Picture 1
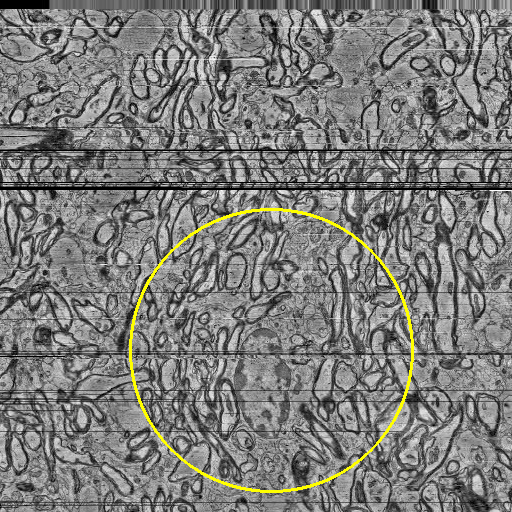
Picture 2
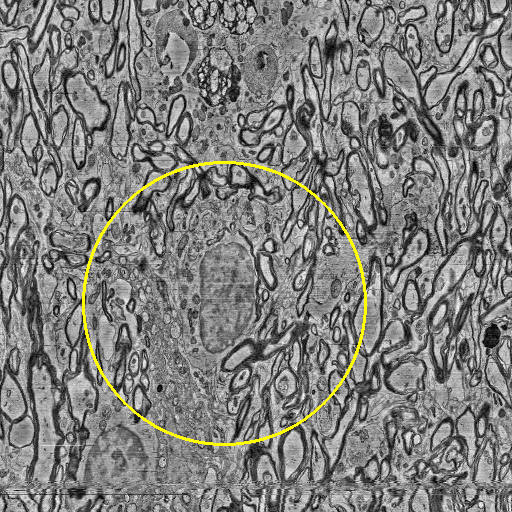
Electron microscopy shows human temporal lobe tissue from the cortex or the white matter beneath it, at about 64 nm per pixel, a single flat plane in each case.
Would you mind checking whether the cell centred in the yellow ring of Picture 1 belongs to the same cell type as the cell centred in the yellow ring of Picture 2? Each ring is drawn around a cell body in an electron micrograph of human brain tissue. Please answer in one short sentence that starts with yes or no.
No, the two cells are of two types.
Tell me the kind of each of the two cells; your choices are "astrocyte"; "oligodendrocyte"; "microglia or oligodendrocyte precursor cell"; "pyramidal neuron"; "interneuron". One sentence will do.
The ringed cell is a microglial cell or oligodendrocyte precursor cell in the first picture and an oligodendrocyte in the second picture.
